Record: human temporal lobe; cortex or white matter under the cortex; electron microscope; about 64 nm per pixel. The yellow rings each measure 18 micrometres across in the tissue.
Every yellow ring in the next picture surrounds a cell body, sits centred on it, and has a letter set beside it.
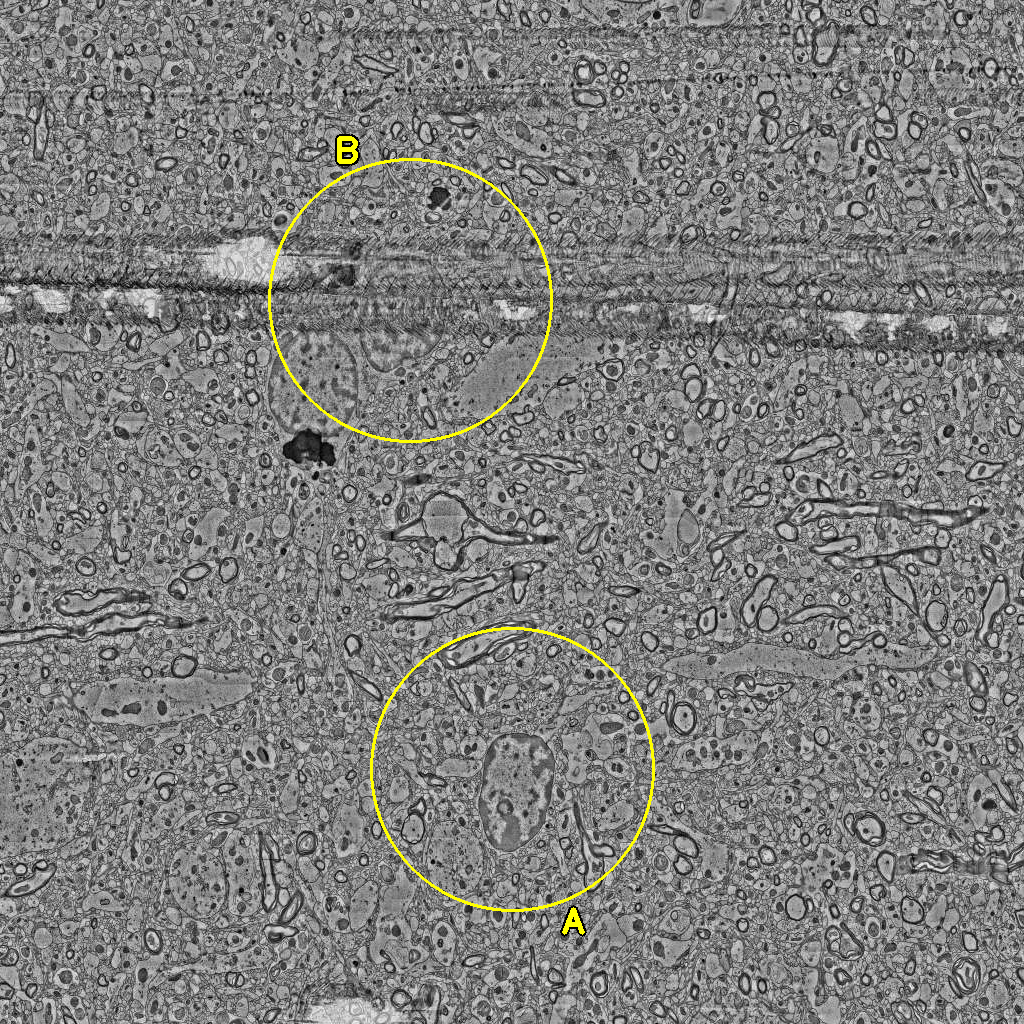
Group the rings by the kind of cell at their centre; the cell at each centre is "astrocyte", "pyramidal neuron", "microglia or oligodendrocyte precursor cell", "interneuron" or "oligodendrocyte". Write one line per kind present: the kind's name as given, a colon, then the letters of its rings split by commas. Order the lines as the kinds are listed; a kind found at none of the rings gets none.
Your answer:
microglia or oligodendrocyte precursor cell: A
oligodendrocyte: B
